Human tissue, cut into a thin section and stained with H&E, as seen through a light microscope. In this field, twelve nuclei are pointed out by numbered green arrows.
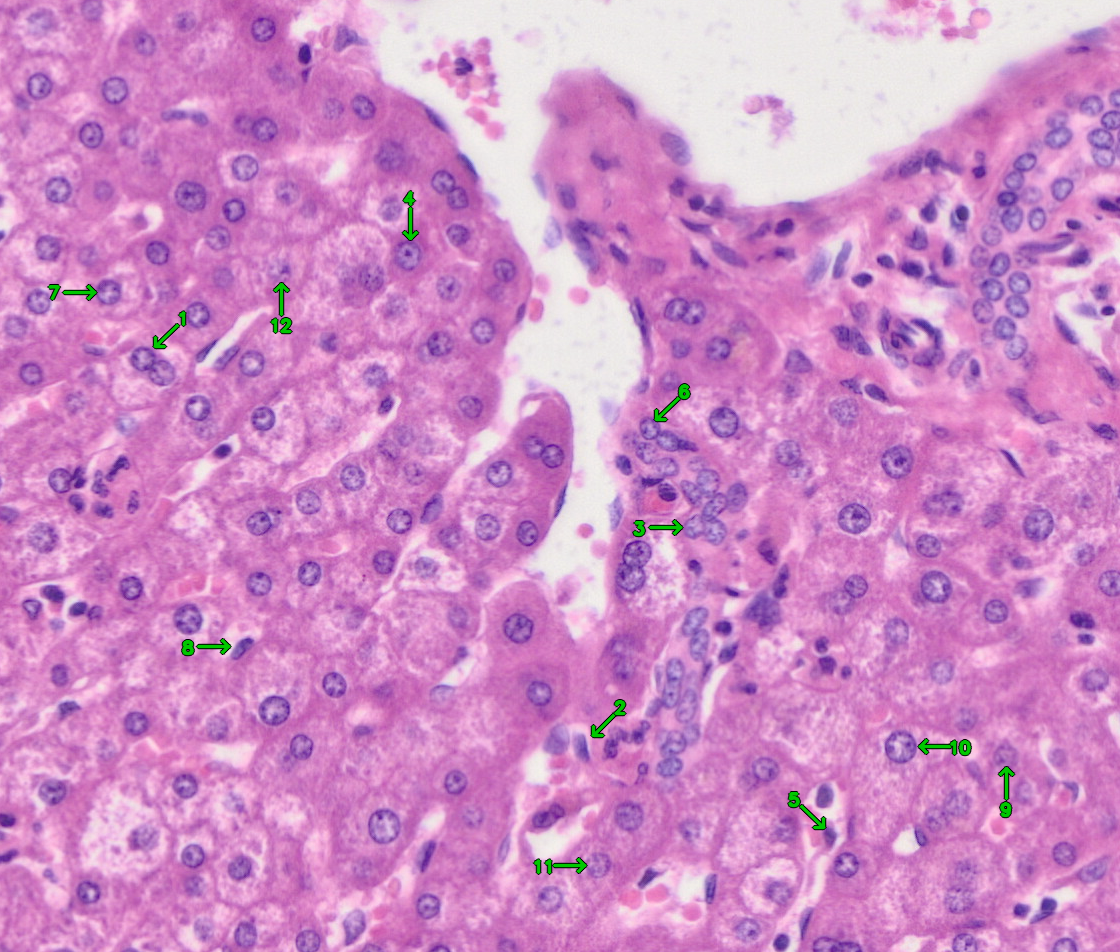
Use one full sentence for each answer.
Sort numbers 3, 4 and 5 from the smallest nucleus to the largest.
Smallest first, the nuclei run 5, 3, 4.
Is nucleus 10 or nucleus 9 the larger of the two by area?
Of the two, number 10 is bigger and takes up about 2 times the area of number 9.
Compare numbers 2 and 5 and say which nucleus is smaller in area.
The smaller nucleus is 5, and 2 covers roughly 2 times its area.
